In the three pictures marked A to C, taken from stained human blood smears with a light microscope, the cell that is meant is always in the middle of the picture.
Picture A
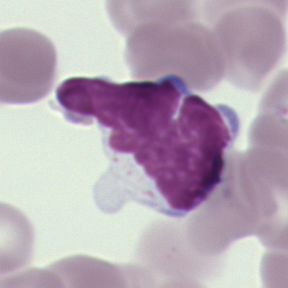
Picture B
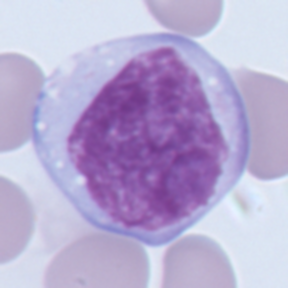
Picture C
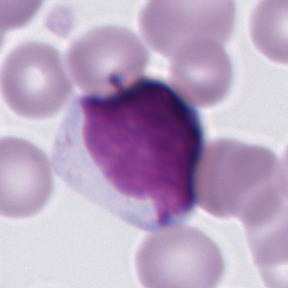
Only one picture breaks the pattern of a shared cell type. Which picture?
B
